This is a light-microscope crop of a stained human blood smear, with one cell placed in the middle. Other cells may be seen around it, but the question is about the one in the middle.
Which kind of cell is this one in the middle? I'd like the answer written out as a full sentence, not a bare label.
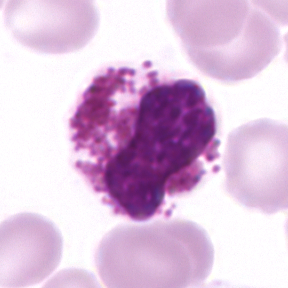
Where the crop is centred, there is an eosinophil.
